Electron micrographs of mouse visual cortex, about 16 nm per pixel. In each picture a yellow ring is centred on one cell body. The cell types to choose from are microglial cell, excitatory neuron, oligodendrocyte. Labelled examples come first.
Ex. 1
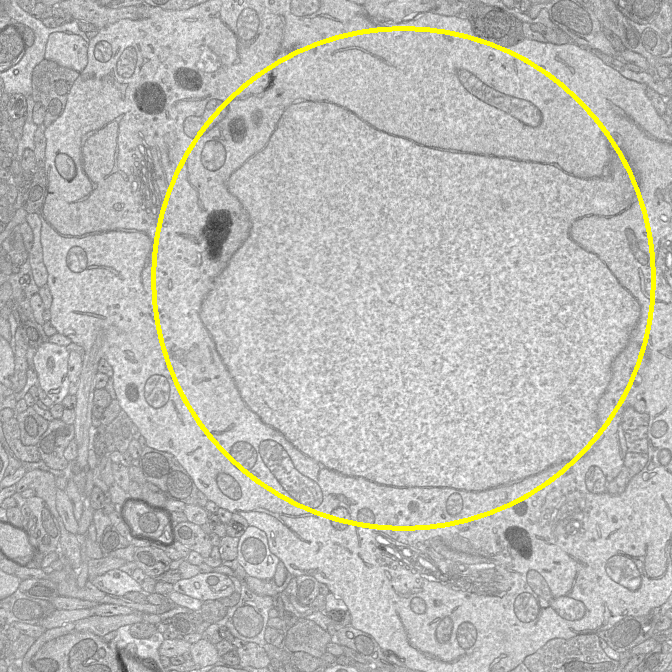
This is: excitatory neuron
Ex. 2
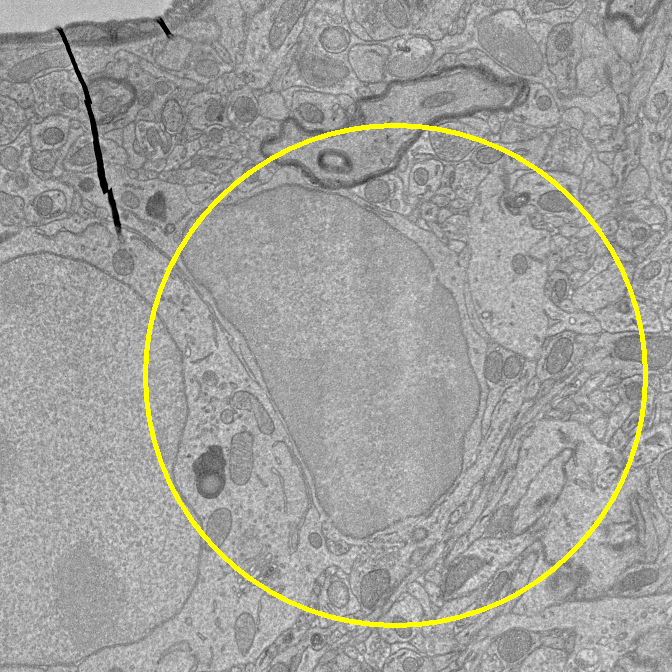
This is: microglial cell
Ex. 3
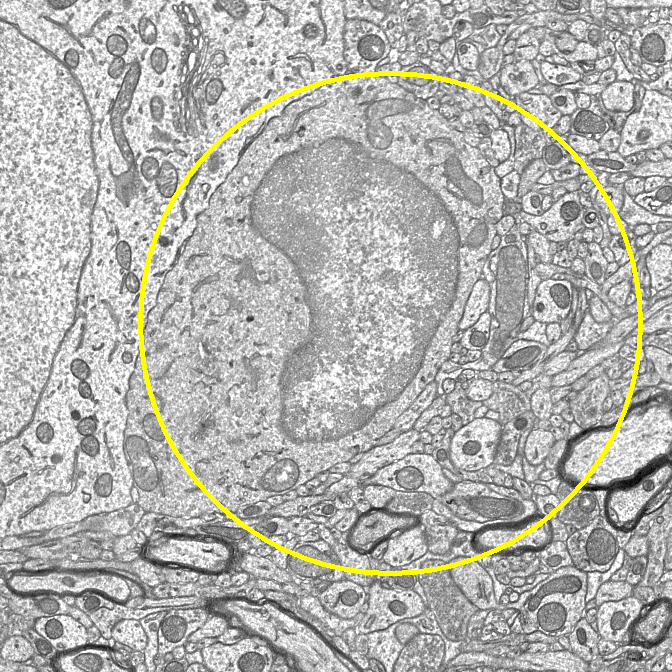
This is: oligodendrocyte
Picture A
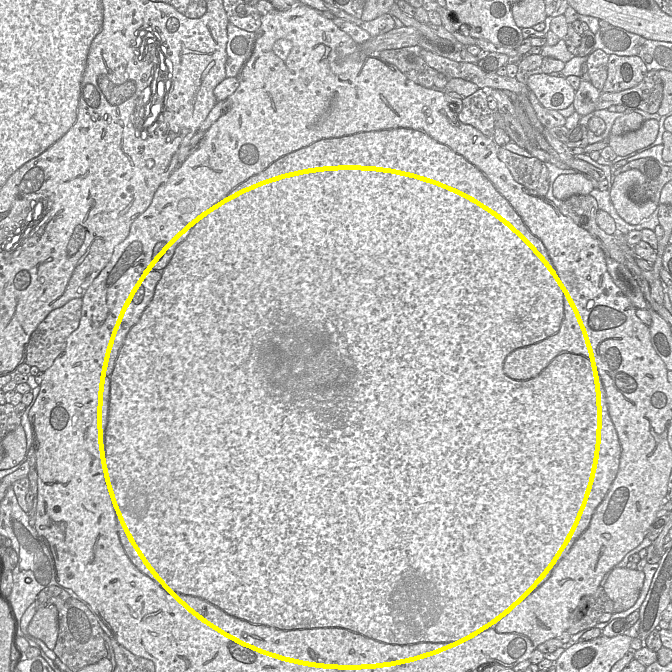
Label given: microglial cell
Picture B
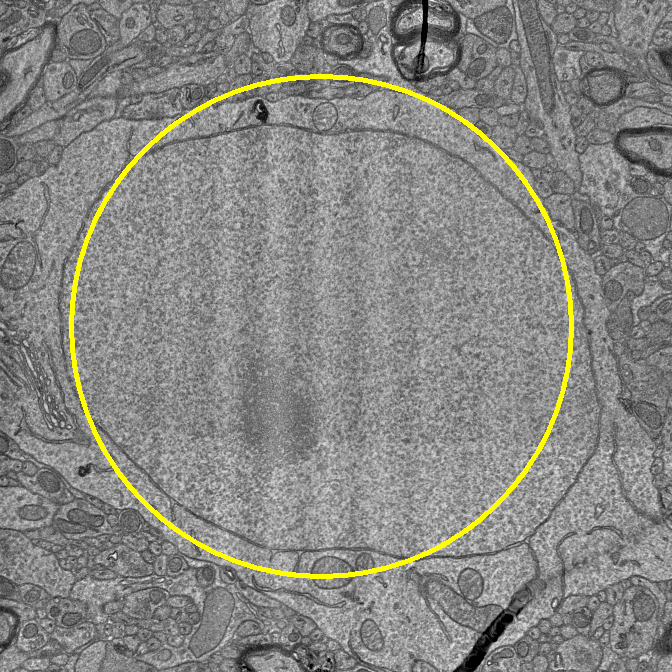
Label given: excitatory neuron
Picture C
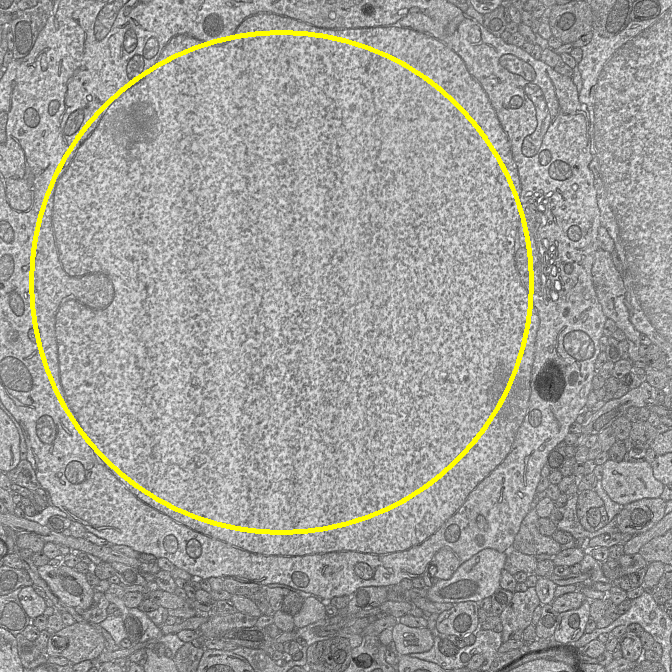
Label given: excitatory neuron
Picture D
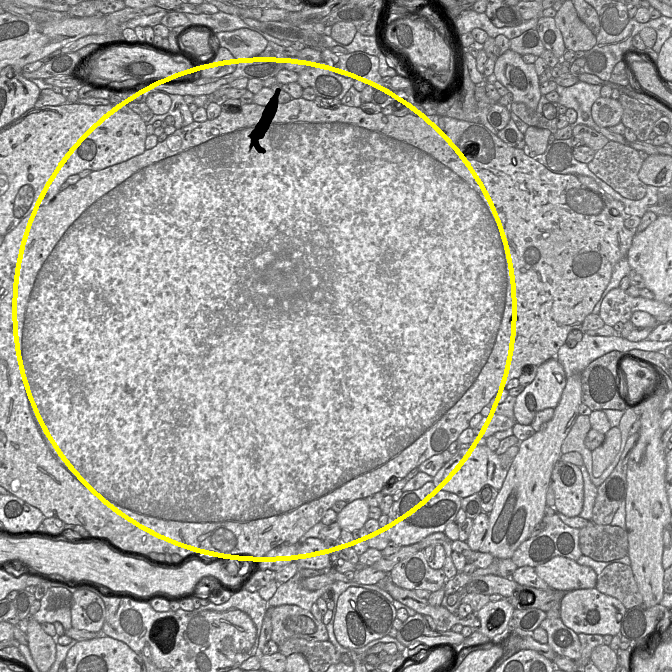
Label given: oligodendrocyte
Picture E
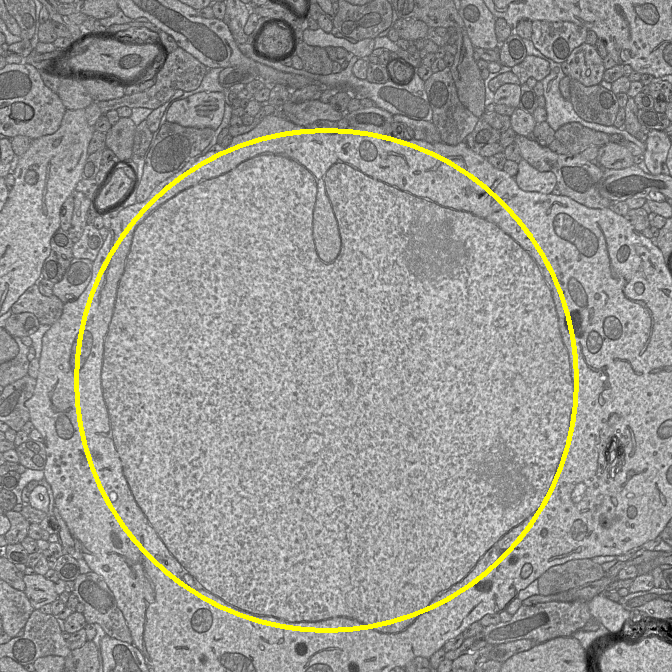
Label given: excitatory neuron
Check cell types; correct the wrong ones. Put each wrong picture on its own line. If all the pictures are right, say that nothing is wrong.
A is labelled microglial cell; correct label: excitatory neuron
